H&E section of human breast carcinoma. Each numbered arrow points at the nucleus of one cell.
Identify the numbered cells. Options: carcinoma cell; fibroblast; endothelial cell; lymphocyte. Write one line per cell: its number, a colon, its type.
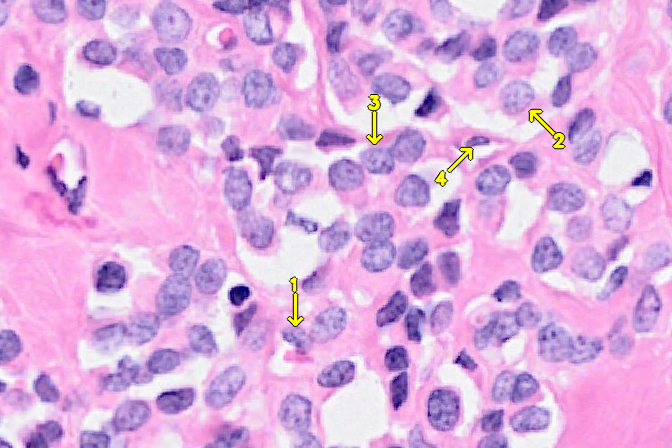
1: endothelial cell
2: carcinoma cell
3: carcinoma cell
4: endothelial cell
